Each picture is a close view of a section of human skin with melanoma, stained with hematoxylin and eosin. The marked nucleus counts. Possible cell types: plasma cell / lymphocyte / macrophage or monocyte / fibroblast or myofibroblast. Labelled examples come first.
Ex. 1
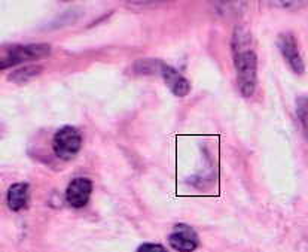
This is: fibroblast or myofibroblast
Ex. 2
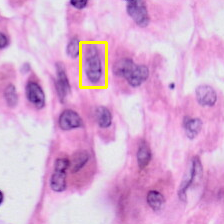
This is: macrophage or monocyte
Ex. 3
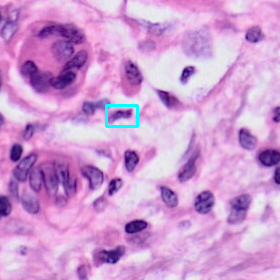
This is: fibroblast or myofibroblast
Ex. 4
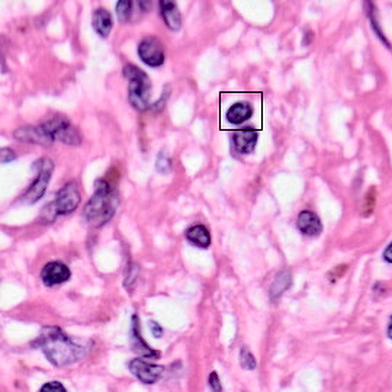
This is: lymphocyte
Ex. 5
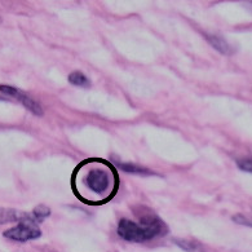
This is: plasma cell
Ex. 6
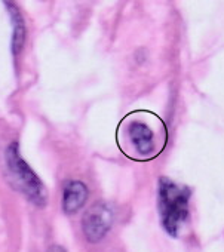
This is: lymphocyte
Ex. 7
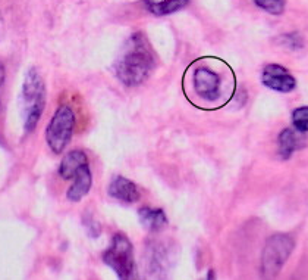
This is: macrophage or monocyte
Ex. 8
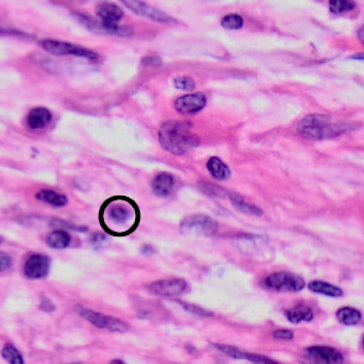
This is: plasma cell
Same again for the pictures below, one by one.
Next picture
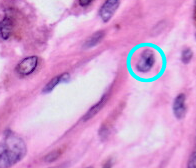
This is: lymphocyte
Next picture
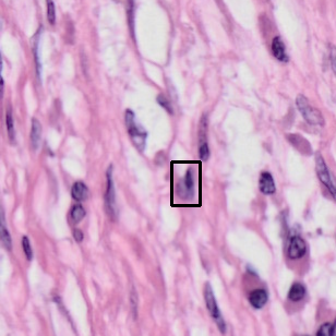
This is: macrophage or monocyte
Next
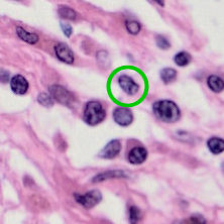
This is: lymphocyte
